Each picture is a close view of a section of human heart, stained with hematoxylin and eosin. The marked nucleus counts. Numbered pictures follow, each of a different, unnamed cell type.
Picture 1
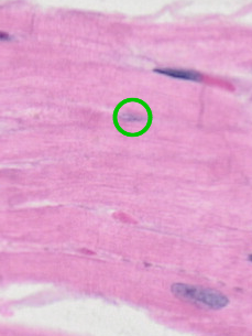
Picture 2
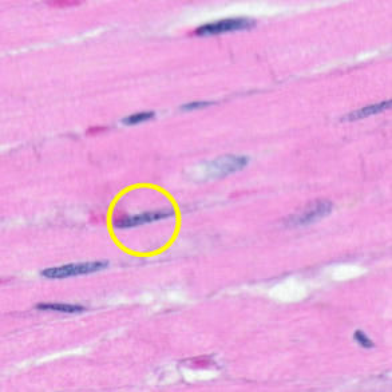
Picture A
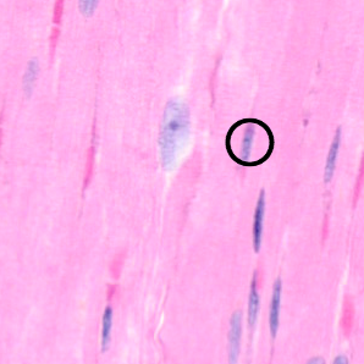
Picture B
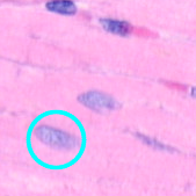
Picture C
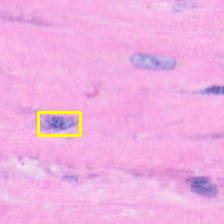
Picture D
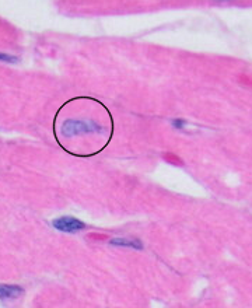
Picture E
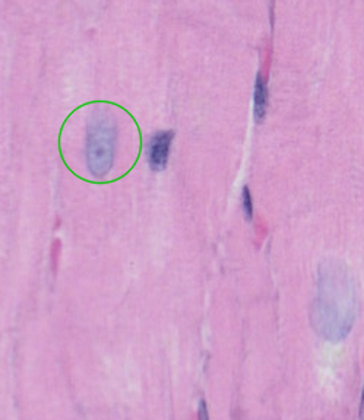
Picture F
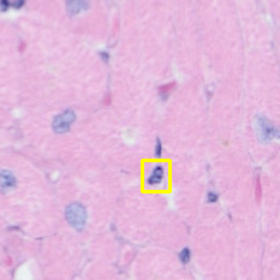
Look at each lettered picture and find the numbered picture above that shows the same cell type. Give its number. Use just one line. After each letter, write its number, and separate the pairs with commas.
A 2, B 1, C 2, D 1, E 1, F 2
